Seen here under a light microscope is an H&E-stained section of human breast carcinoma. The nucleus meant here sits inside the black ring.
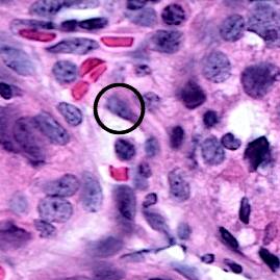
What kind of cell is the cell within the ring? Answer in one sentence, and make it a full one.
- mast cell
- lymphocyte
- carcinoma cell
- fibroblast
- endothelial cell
In this tissue sample, the cell within the ring is an endothelial cell.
